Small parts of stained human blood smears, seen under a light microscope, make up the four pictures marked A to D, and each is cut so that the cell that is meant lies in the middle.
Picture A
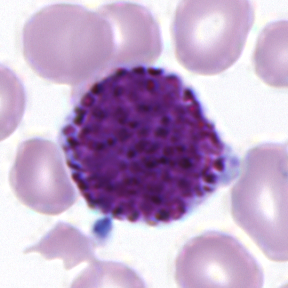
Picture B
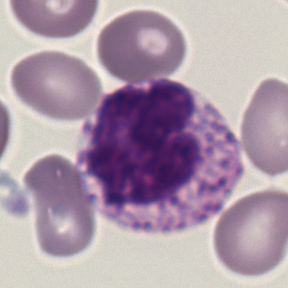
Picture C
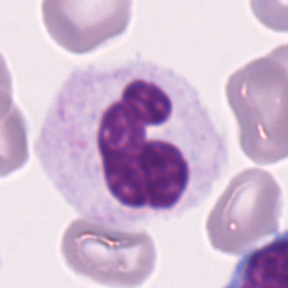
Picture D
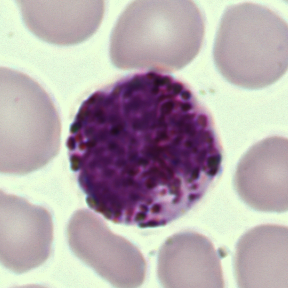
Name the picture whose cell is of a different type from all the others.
C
